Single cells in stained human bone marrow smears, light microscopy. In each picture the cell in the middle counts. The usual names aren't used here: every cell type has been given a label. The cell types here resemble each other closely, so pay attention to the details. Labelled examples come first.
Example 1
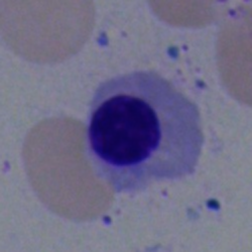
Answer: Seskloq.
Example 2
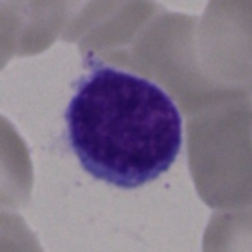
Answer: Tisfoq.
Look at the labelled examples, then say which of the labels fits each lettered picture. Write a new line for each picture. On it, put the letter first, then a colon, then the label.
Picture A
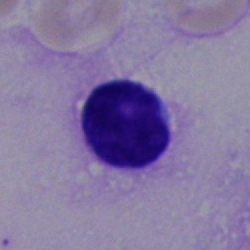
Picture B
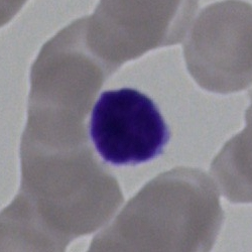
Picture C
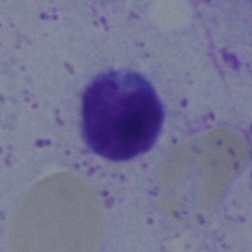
A: Tisfoq.
B: Tisfoq.
C: Tisfoq.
